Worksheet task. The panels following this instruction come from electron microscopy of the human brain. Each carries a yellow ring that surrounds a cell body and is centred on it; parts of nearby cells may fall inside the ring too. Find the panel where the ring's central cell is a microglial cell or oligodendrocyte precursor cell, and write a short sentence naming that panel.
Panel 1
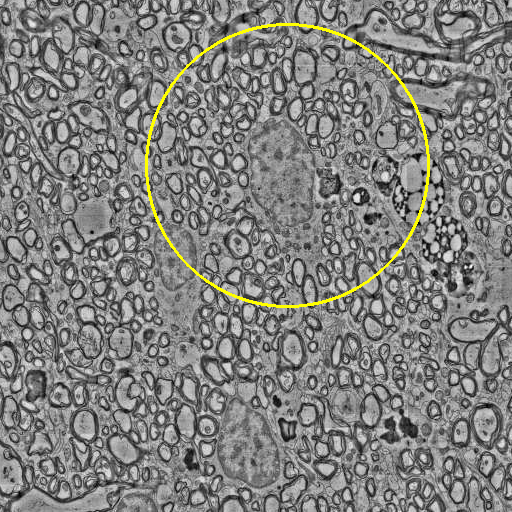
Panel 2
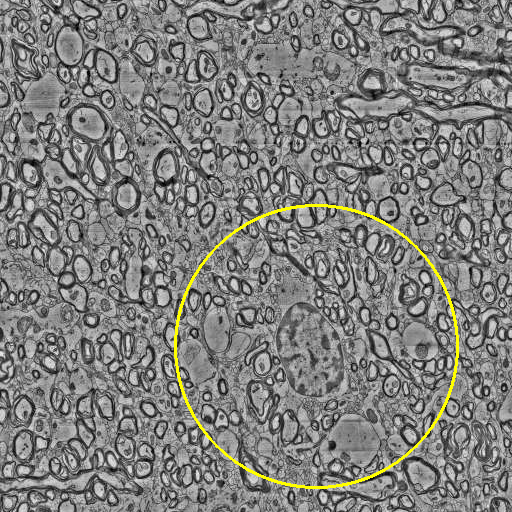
The cell sought is in Panel 2.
